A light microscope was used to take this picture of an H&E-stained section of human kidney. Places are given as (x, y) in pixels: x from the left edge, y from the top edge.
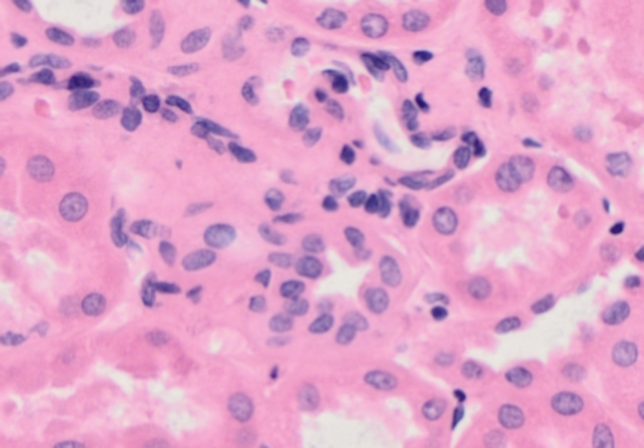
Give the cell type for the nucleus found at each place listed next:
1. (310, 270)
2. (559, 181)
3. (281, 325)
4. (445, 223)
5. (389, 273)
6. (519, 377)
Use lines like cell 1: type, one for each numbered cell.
cell 1: collecting duct cell
cell 2: proximal tubule cell
cell 3: collecting duct cell
cell 4: proximal tubule cell
cell 5: collecting duct cell
cell 6: loop of Henle or distal tubule cell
